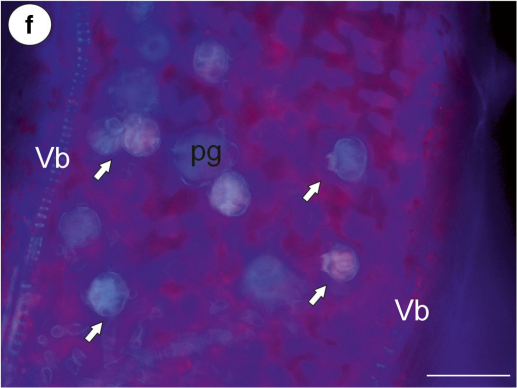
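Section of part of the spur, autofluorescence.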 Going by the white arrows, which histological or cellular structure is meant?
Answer: Nectar trichomes.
